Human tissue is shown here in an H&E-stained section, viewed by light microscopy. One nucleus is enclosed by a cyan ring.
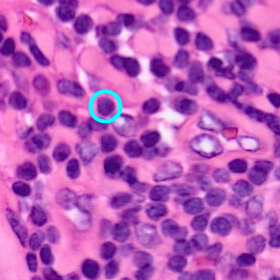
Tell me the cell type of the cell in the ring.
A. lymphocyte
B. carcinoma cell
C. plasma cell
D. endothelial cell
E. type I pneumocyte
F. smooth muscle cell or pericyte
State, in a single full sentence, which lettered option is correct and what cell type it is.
Option A describes the cell in the ring accurately as a lymphocyte.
